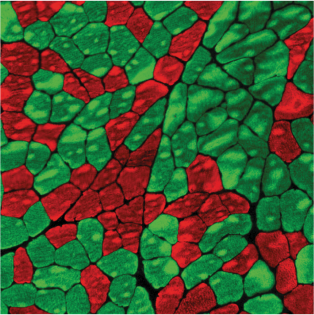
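This is a cross-section through skeletal muscle. It shows many tightly packed myofibers cut transversely, and they appear as polygonal, rounded-angular profiles of broadly similar size. Thin dark seams separate them, and these correspond to the scant connective tissue between the fibers. Many fibers of both colours have a mottled interior with small paler spots in the stained cytoplasm. No large gaps, clusters of cells or scarred areas interrupt the orderly packing. Most of the fiber mosaic looks regular.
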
